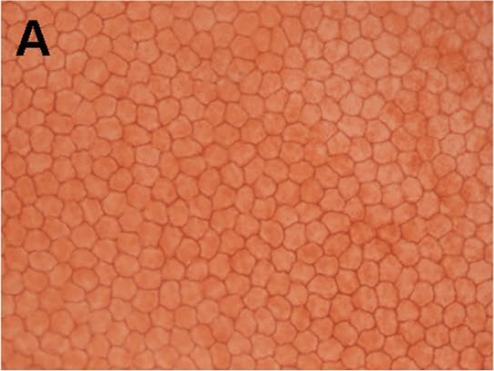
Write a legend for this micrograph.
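A flat sheet of closely packed polygonal cells, most of them six-sided, covers the whole field, each outlined by a thin dark red border with paler orange interiors. The cells are of fairly even size and fit together without gaps, forming a regular mosaic. This is the endothelial cell layer of the cornea seen face-on.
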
